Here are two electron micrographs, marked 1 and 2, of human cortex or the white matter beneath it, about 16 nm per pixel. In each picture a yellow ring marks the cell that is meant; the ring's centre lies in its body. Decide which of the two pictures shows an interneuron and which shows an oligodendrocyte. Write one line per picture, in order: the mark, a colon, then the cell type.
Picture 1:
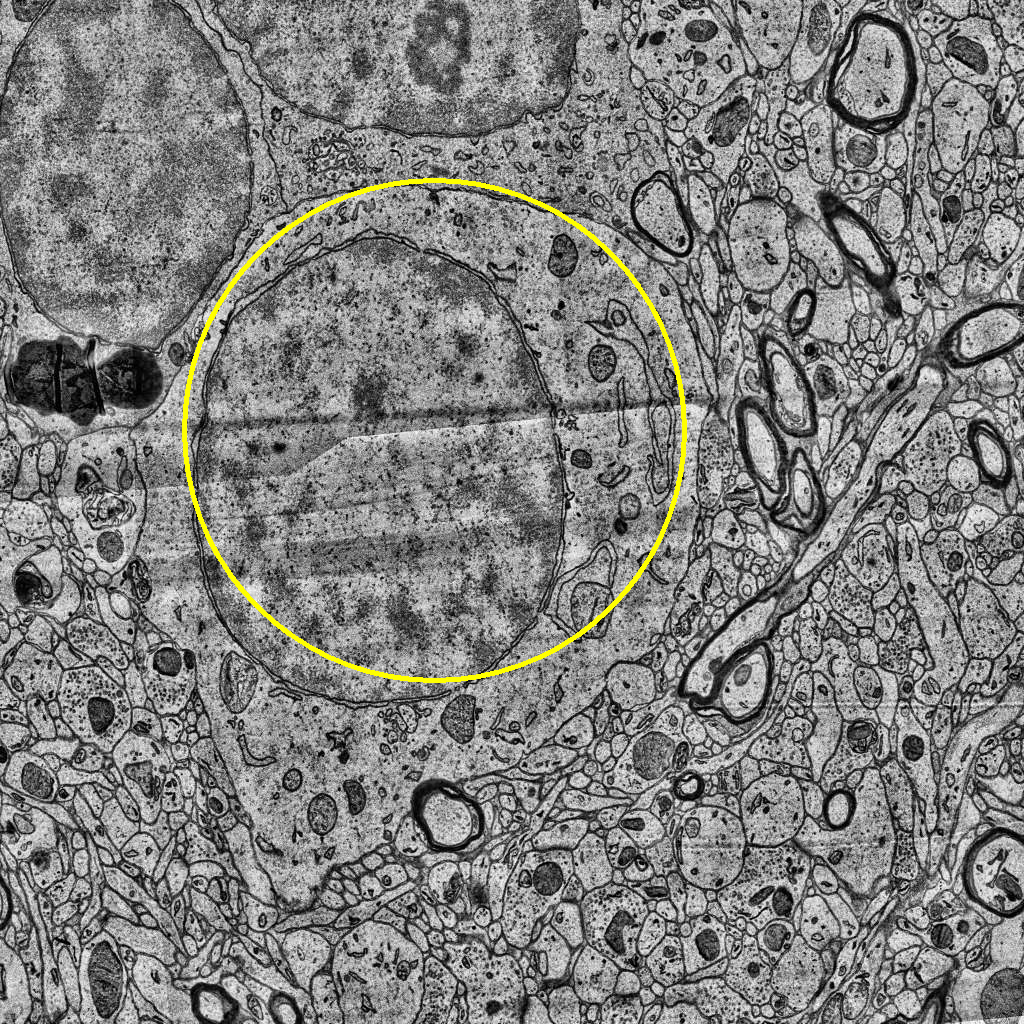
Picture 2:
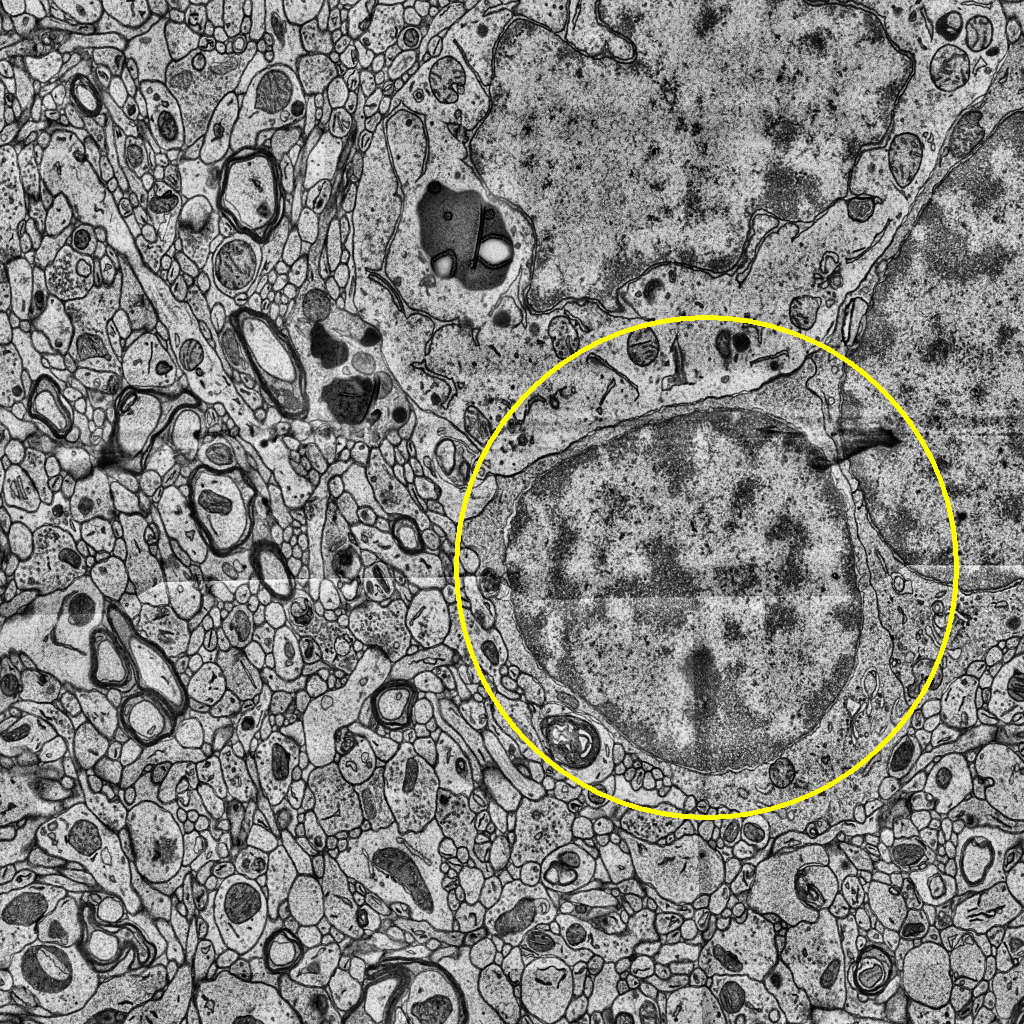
1: interneuron
2: oligodendrocyte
